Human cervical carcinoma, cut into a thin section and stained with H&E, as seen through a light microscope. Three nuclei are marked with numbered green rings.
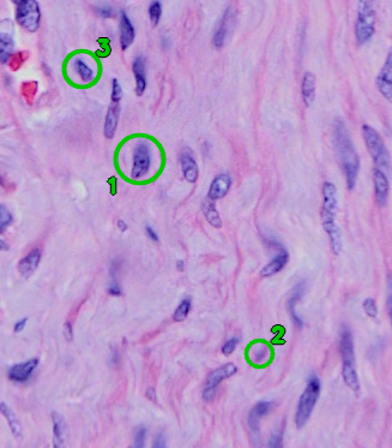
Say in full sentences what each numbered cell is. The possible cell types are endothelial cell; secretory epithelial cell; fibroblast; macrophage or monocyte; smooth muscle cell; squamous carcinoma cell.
Cells 1 and 3 are fibroblasts. Cell 2 is a smooth muscle cell.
